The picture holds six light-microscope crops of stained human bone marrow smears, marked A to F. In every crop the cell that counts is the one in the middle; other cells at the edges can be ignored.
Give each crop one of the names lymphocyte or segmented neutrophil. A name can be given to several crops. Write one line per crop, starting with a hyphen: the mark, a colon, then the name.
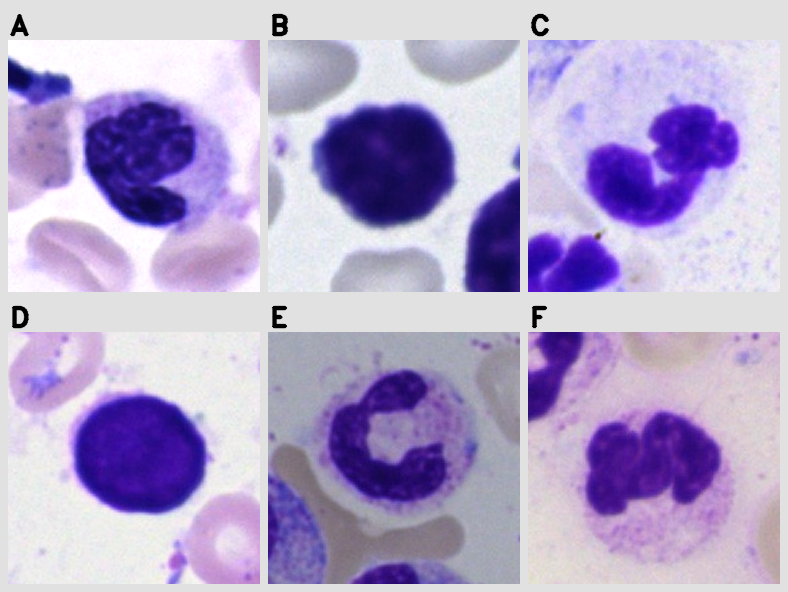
- A: segmented neutrophil
- B: lymphocyte
- C: segmented neutrophil
- D: lymphocyte
- E: segmented neutrophil
- F: segmented neutrophil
